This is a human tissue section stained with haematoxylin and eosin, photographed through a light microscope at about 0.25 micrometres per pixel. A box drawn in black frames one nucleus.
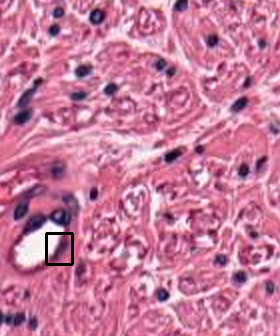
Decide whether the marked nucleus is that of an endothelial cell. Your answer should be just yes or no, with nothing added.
yes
